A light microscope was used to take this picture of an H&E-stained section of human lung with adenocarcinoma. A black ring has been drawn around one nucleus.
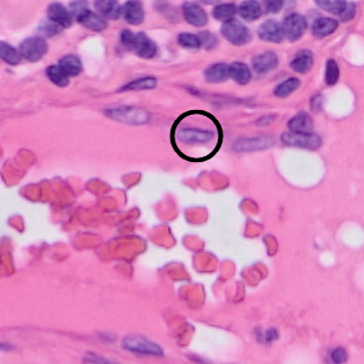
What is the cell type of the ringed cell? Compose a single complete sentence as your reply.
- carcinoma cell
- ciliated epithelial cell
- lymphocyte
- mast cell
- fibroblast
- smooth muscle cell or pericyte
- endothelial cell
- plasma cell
Speaking plainly, the ringed cell is nothing other than an endothelial cell.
